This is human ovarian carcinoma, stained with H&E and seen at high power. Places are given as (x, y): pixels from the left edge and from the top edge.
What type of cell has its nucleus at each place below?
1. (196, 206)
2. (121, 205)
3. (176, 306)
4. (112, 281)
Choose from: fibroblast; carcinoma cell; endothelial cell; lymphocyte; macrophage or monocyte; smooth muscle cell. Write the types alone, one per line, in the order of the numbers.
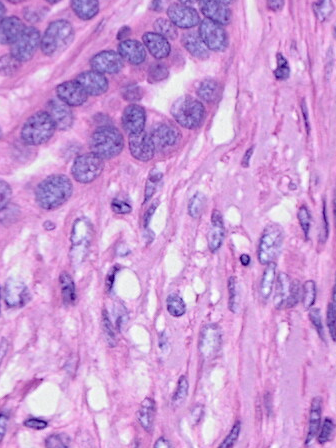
fibroblast
macrophage or monocyte
macrophage or monocyte
fibroblast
